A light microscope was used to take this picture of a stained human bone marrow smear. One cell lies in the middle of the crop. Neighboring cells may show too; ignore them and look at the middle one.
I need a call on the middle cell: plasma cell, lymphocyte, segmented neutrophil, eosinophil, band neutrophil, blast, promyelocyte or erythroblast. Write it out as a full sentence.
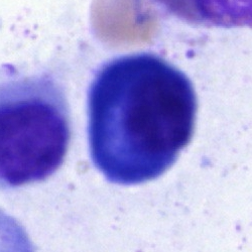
Classified as a plasma cell is the cell in the middle of this crop.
